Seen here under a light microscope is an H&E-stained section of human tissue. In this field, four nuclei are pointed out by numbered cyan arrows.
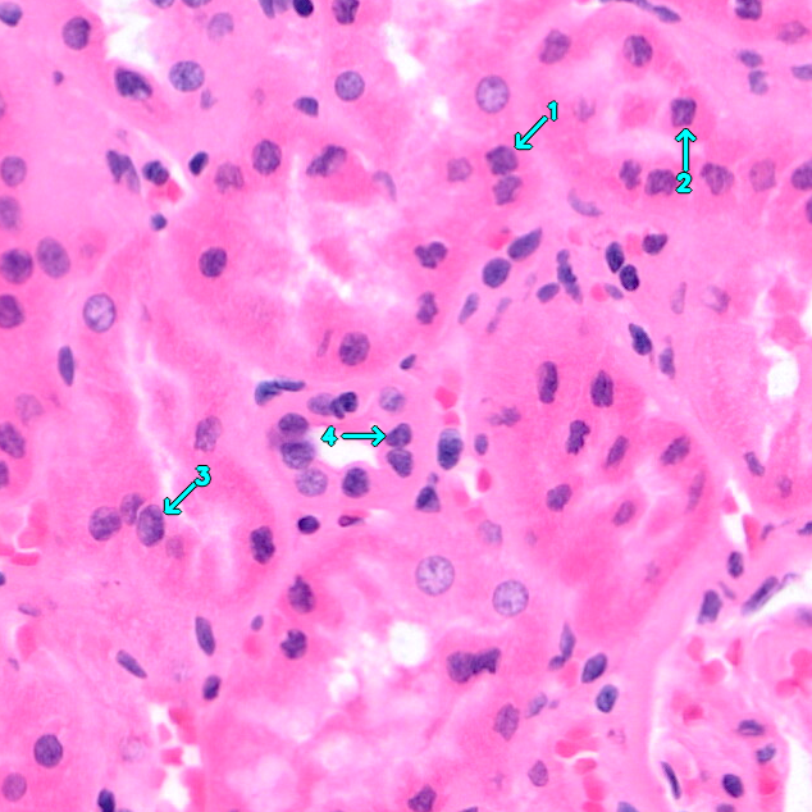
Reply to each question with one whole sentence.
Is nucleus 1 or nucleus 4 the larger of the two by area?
Nucleus 1 is the larger one, covering about 1.5 times the area of nucleus 4.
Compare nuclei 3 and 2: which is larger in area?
Of the two, number 3 is bigger and takes up about 1.5 times the area of number 2.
